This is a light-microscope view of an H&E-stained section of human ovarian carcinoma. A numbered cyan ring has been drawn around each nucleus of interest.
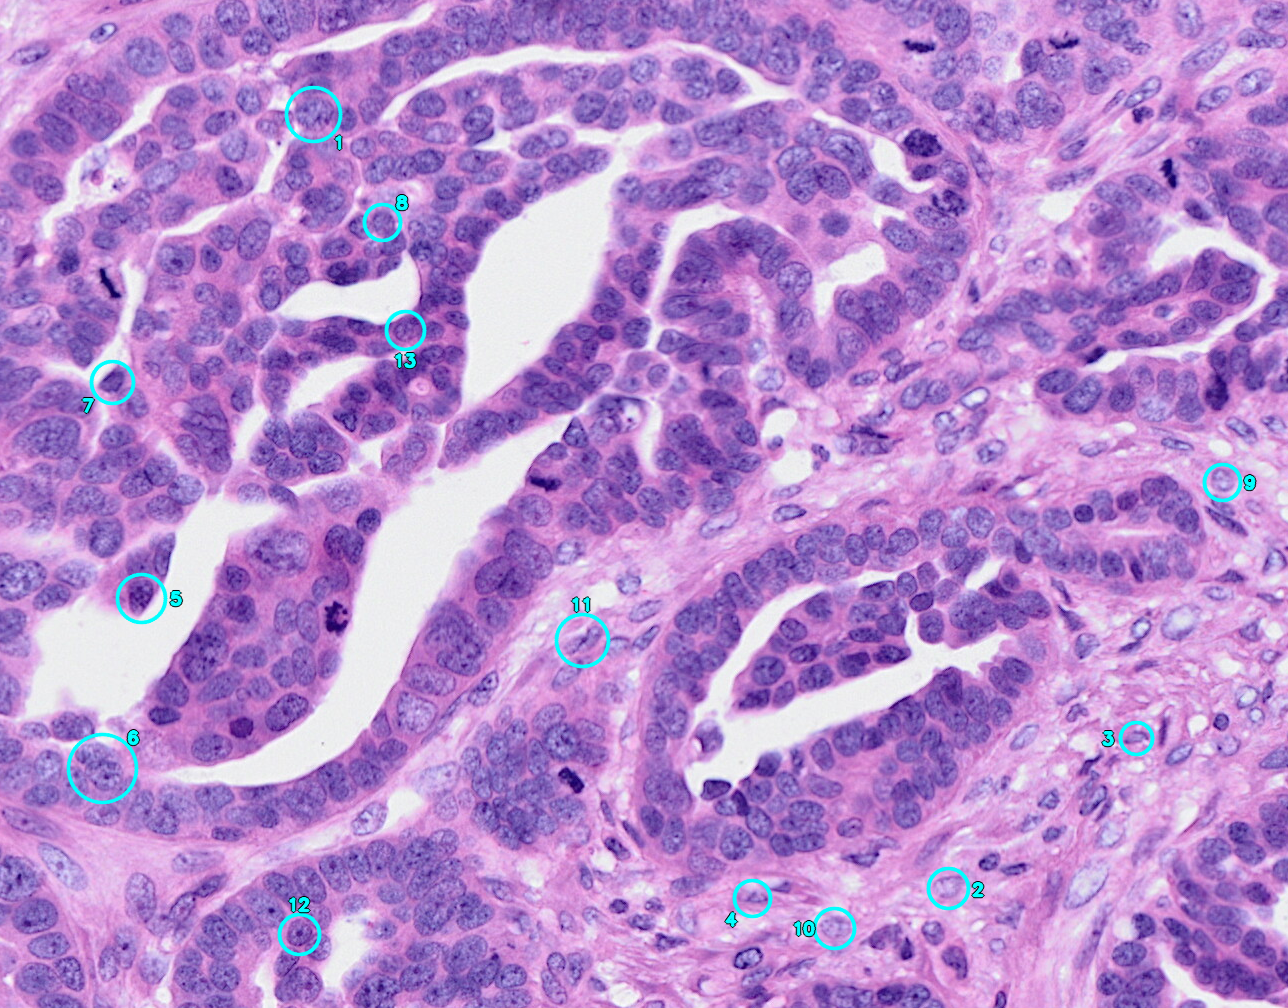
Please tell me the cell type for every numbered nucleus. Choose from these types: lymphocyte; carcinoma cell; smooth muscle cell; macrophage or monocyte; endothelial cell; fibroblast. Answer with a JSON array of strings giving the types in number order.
["carcinoma cell", "fibroblast", "fibroblast", "fibroblast", "carcinoma cell", "carcinoma cell", "carcinoma cell", "carcinoma cell", "fibroblast", "fibroblast", "fibroblast", "carcinoma cell", "carcinoma cell"]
